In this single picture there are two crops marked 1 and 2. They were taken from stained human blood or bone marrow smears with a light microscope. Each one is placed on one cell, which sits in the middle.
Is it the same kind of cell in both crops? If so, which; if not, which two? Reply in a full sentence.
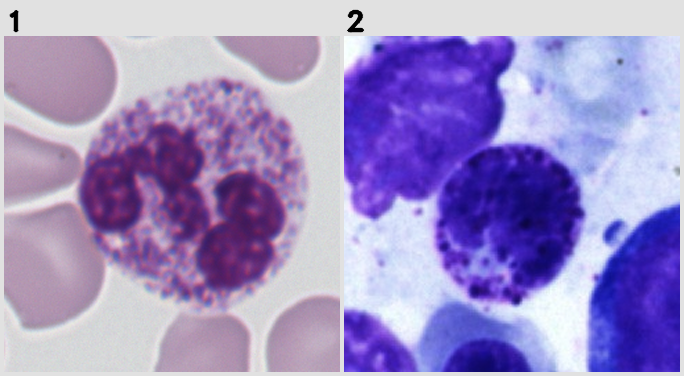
No, crop 1 displays a segmented neutrophil and crop 2 displays a basophil.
